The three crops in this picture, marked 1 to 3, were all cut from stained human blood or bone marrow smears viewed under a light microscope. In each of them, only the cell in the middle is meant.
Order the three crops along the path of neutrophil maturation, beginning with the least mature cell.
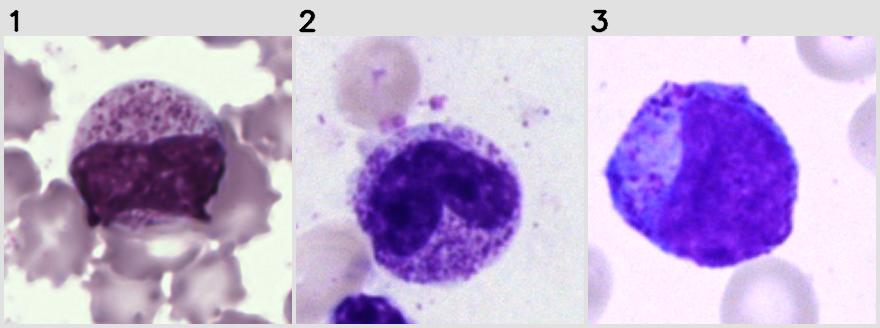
3, 1, 2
